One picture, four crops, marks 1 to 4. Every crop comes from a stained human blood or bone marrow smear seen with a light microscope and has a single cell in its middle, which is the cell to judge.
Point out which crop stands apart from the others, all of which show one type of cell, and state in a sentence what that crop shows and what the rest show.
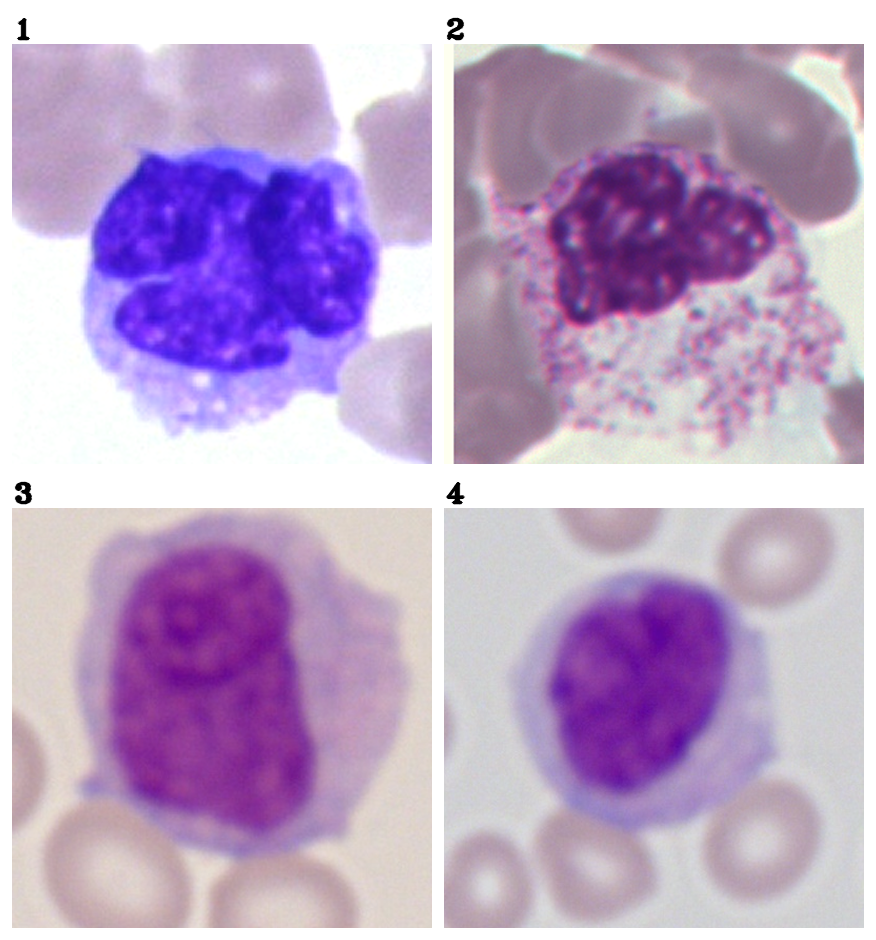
In every crop except crop 2, which shows a neutrophil, monocytes are shown.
